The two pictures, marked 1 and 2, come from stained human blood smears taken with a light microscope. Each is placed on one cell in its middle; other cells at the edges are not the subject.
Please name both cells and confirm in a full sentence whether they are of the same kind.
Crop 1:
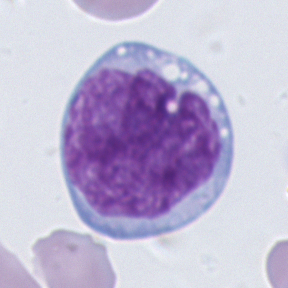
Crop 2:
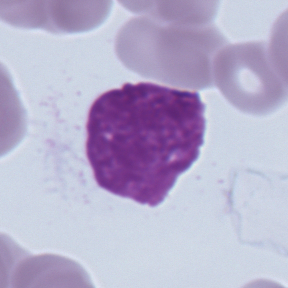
No, a myeloblast is the subject of crop 1, and a smudge cell is the subject of crop 2.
